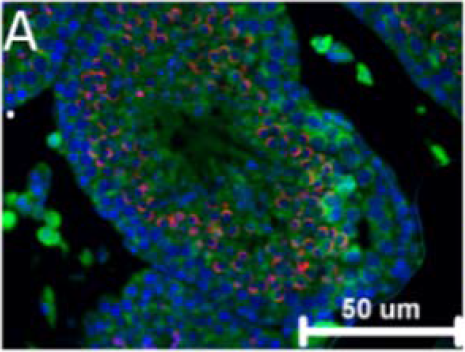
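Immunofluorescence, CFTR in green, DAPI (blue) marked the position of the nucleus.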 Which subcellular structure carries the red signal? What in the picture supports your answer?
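Red signal forms small crescents or caps. Each red crescent sits against one side of a blue nucleus.
Conclusion: acrosome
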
